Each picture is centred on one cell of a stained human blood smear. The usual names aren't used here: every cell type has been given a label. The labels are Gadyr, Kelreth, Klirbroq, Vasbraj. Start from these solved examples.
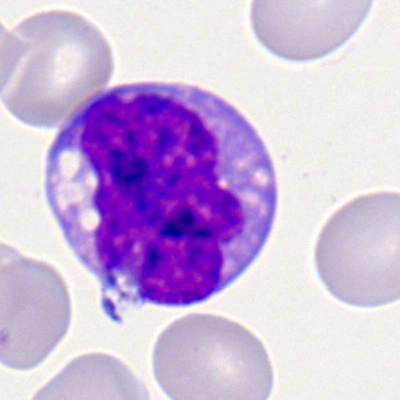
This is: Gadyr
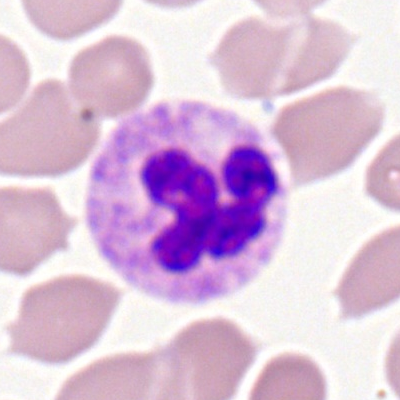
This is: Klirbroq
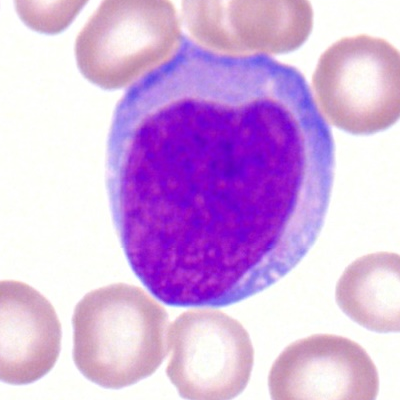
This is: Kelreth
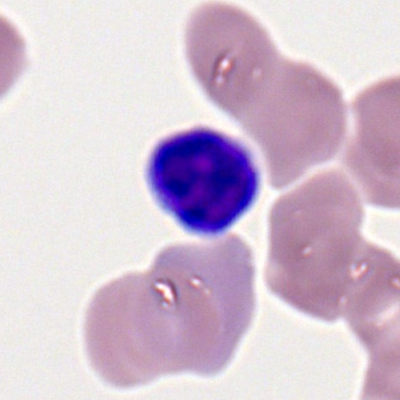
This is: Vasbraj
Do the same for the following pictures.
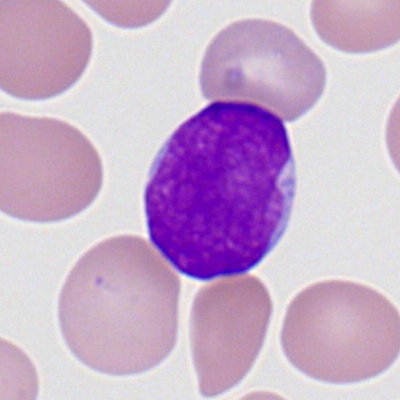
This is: Kelreth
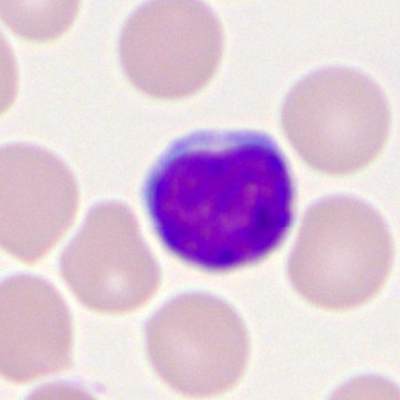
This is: Vasbraj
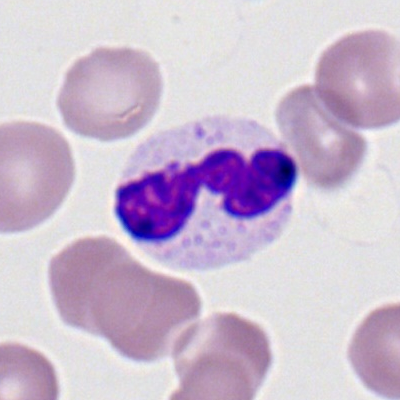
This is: Klirbroq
